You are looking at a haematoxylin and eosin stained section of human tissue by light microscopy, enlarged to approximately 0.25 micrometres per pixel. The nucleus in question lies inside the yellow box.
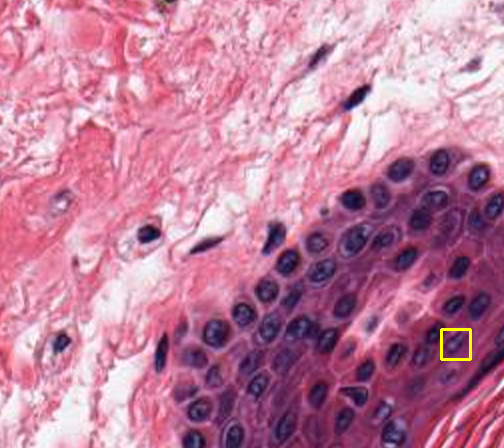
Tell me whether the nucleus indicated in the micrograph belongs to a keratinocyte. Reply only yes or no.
yes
